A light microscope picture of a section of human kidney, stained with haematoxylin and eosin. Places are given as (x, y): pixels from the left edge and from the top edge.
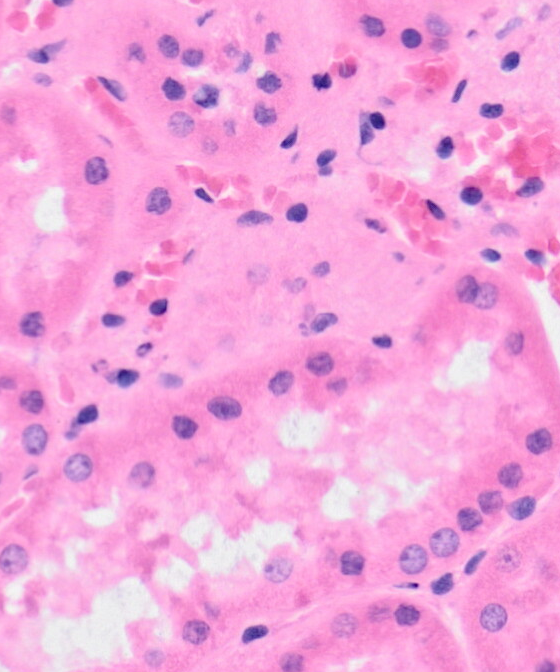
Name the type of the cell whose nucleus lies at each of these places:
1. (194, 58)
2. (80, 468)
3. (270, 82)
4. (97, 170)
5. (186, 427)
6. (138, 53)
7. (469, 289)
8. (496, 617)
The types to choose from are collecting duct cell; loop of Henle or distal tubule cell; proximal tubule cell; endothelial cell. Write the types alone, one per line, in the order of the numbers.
loop of Henle or distal tubule cell
proximal tubule cell
loop of Henle or distal tubule cell
proximal tubule cell
proximal tubule cell
loop of Henle or distal tubule cell
proximal tubule cell
proximal tubule cell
